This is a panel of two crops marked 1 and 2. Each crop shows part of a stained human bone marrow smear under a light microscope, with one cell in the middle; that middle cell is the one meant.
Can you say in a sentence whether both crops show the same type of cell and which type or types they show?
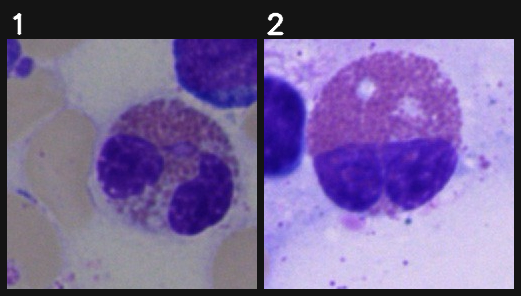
Yes, eosinophils are the central cells in the two crops.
